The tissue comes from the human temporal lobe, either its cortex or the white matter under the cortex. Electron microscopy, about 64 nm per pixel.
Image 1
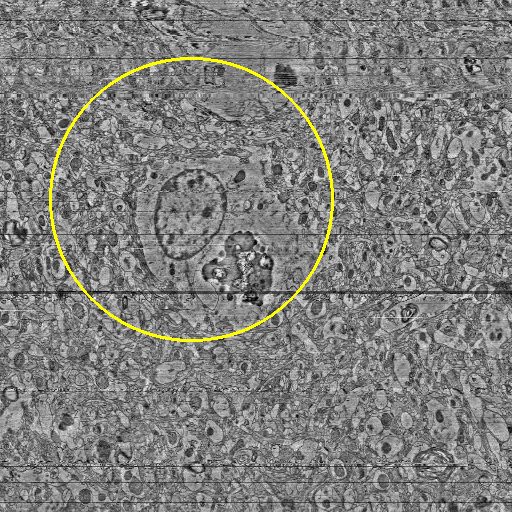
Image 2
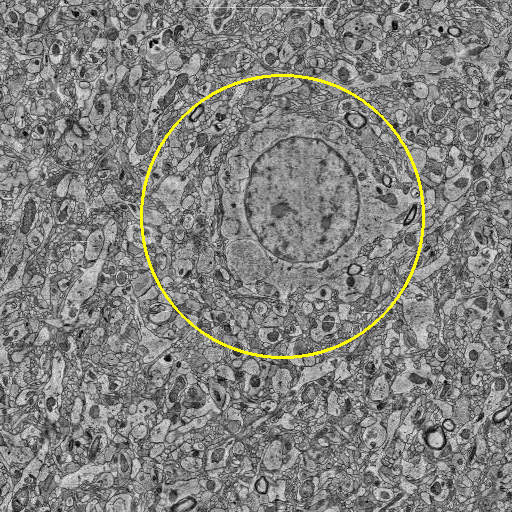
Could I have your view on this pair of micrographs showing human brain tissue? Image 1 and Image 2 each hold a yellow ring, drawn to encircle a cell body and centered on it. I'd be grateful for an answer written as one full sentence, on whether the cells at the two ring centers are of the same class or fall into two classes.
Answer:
The cells at the centers of the two rings are of the same class.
